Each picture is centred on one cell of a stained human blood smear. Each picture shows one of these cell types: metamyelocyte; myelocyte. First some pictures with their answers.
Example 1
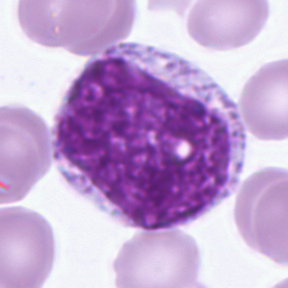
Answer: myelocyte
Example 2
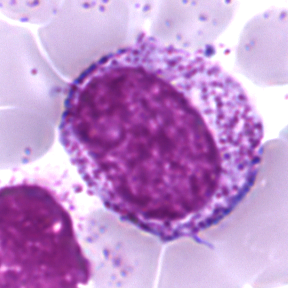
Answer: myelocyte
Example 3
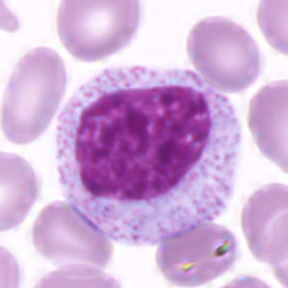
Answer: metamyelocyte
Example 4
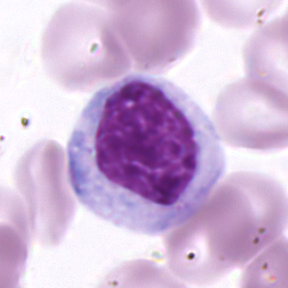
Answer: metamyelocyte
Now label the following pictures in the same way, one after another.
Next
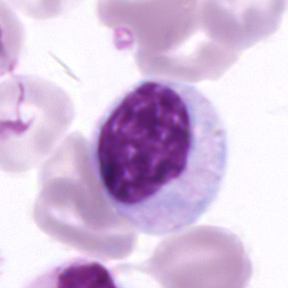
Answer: metamyelocyte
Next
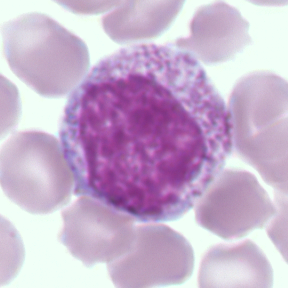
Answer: myelocyte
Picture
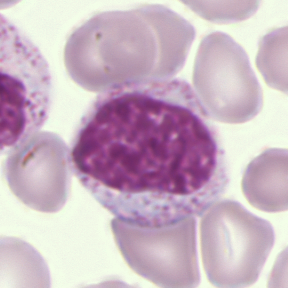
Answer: metamyelocyte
